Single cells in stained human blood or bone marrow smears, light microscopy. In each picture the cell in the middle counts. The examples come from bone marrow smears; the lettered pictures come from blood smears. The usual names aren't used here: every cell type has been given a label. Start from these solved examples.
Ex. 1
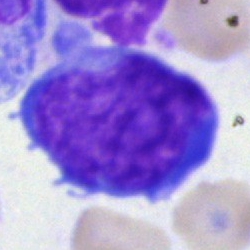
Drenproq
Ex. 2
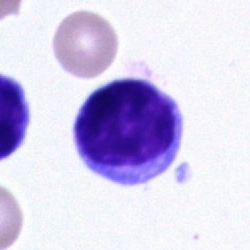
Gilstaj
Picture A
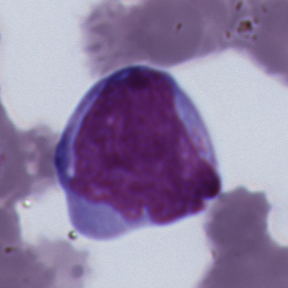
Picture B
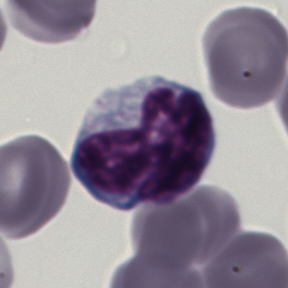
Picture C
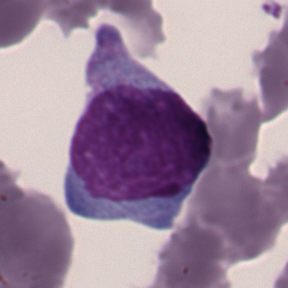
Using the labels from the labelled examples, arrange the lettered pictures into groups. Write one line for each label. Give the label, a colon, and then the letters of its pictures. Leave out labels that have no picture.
Drenproq: A, C
Gilstaj: B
